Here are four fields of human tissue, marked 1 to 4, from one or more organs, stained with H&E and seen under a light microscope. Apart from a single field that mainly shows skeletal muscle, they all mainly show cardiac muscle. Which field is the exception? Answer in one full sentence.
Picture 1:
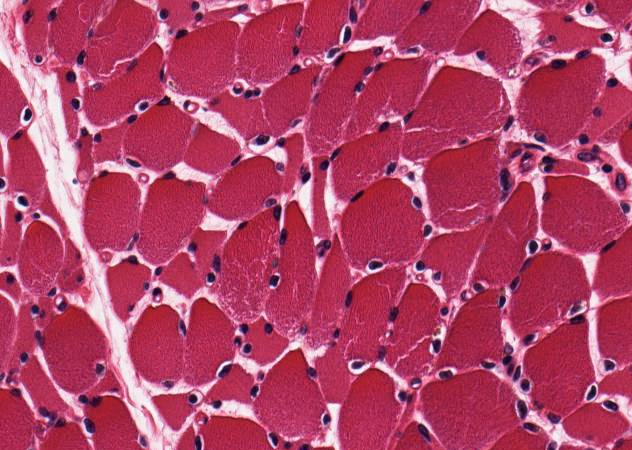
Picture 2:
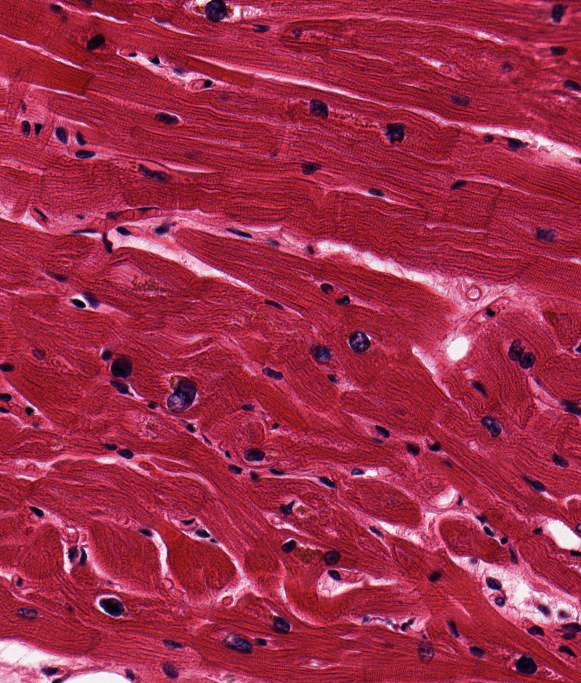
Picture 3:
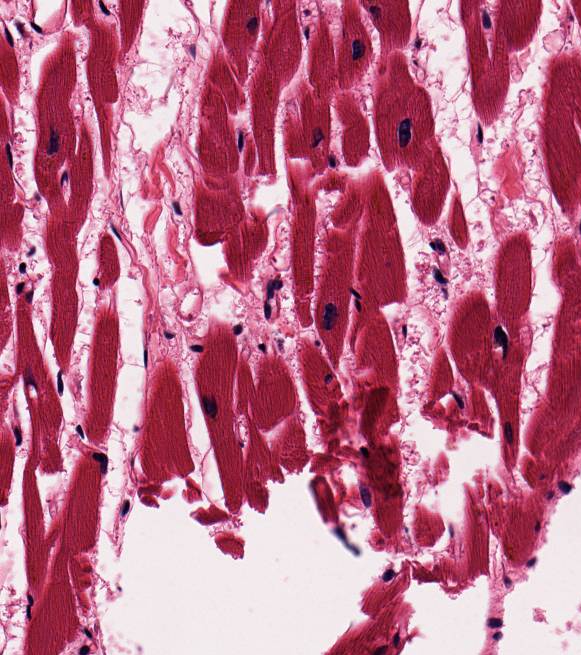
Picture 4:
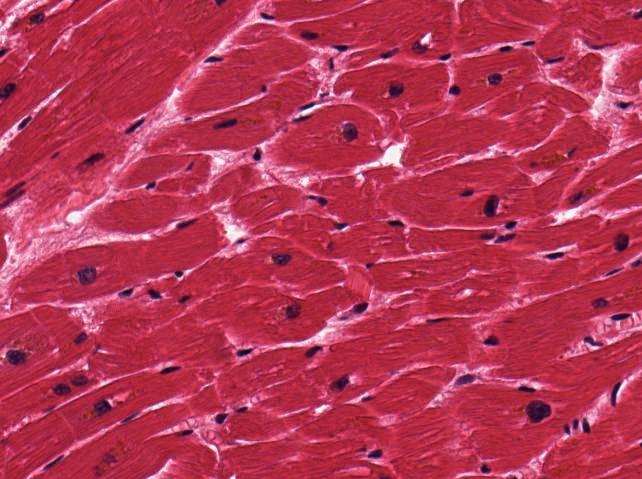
Picture 1 mainly shows skeletal muscle.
